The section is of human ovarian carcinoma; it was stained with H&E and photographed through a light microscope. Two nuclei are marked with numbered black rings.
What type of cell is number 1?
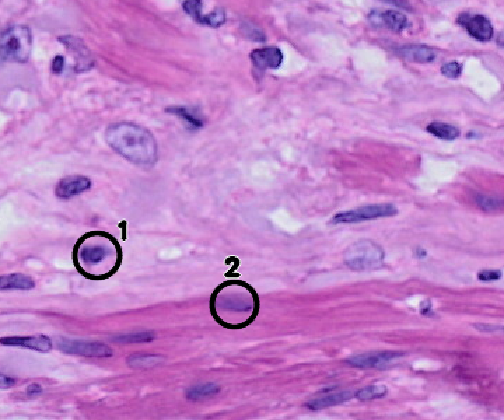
lymphocyte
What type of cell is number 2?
smooth muscle cell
